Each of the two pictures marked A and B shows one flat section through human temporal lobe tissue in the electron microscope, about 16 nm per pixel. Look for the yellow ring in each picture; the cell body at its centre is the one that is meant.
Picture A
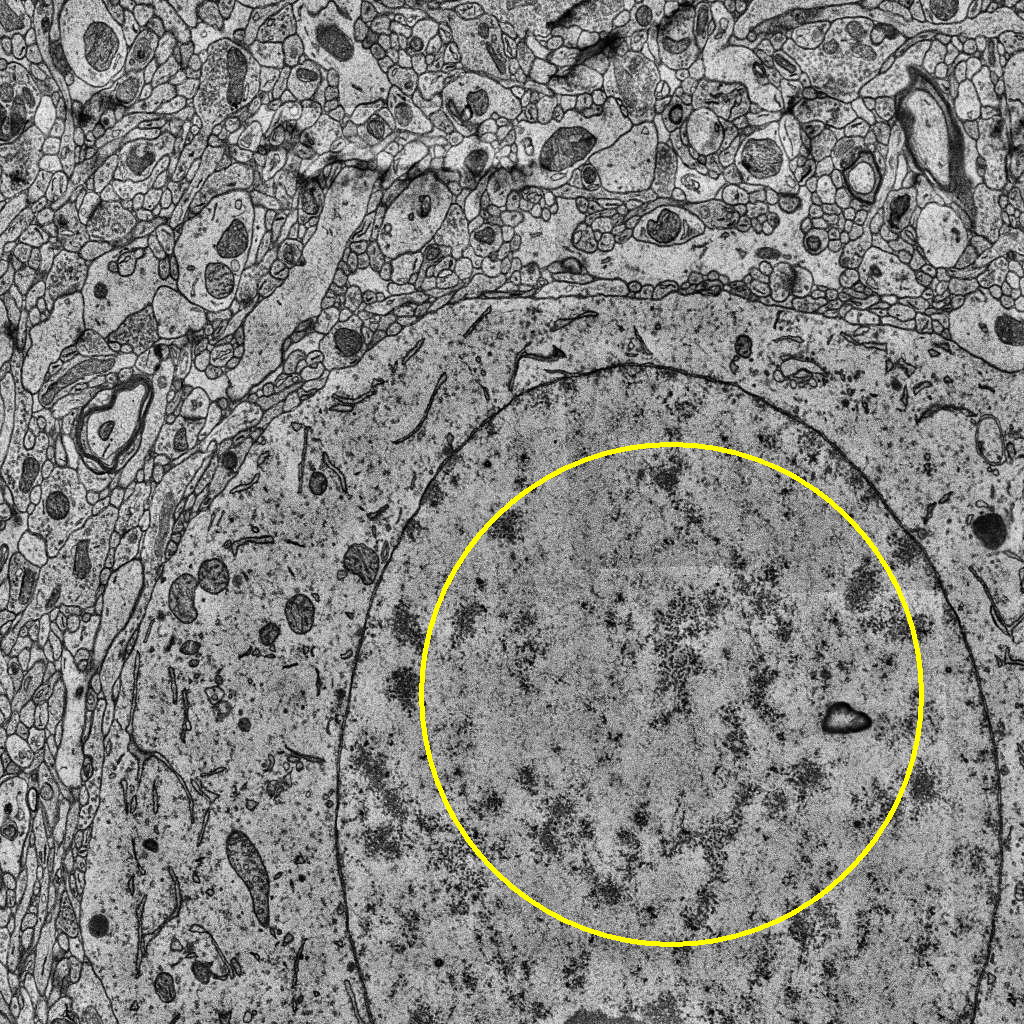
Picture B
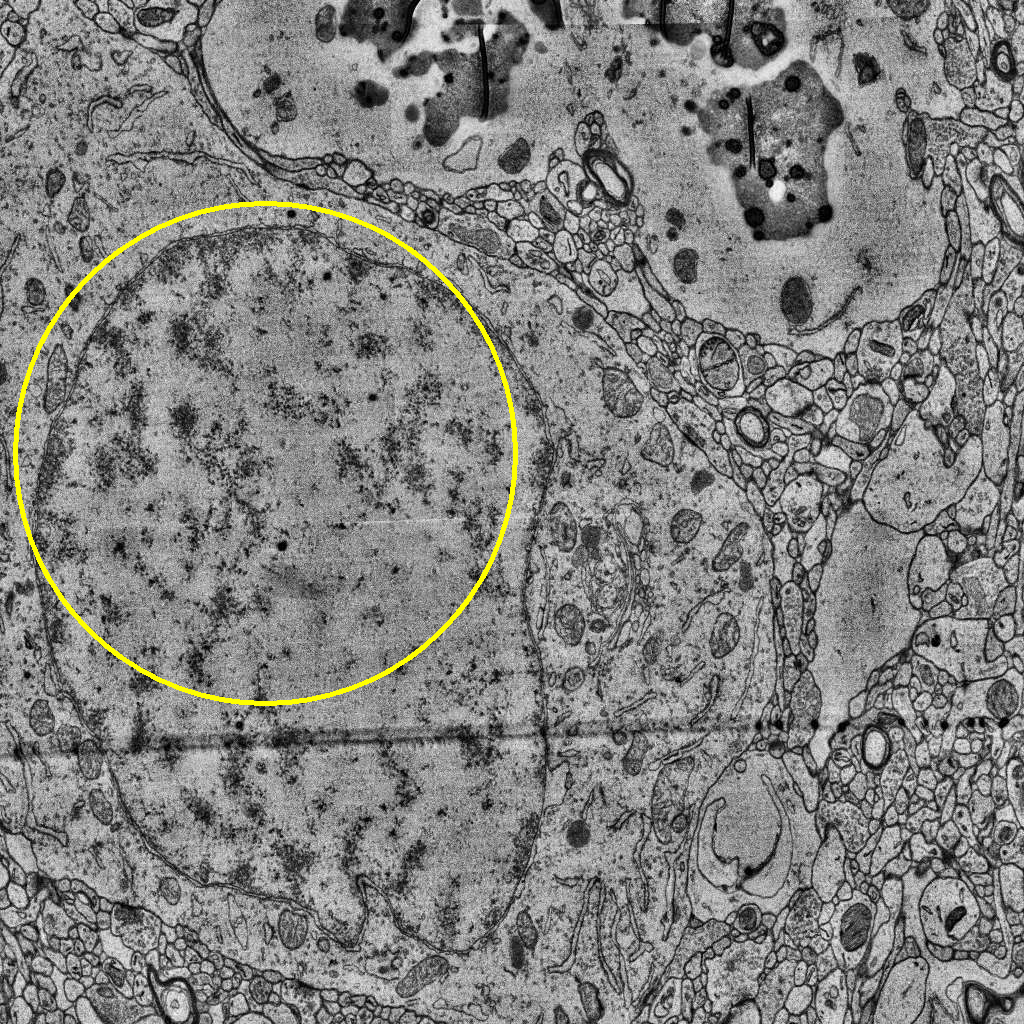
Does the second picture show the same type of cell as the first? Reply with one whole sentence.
No, they differ: the cell is a pyramidal neuron in picture A and an interneuron in picture B.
